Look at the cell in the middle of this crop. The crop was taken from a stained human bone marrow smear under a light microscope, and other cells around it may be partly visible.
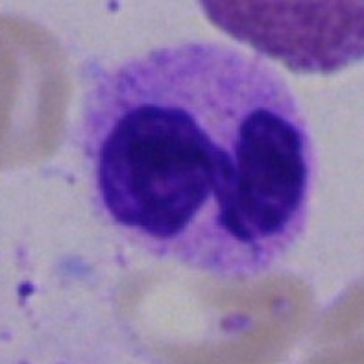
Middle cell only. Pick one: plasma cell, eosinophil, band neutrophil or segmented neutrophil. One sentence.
What the crop centres on is a segmented neutrophil.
